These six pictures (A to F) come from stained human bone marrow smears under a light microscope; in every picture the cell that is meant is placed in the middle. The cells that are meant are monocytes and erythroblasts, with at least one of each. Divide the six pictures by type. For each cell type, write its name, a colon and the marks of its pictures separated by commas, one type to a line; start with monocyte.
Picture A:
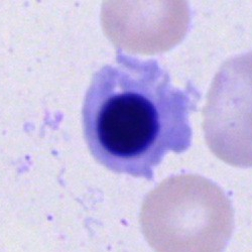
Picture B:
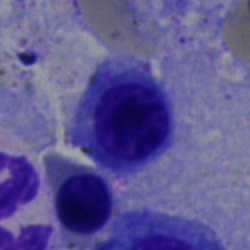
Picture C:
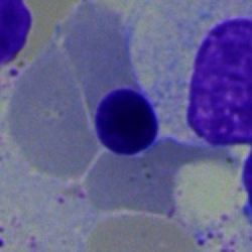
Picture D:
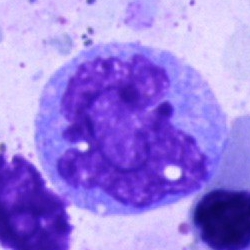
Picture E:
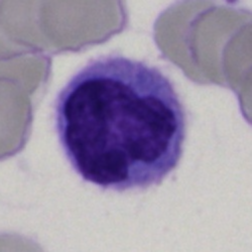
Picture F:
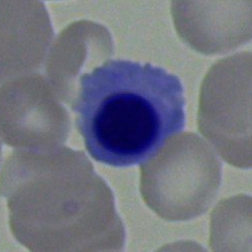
monocyte: D, E
erythroblast: A, B, C, F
